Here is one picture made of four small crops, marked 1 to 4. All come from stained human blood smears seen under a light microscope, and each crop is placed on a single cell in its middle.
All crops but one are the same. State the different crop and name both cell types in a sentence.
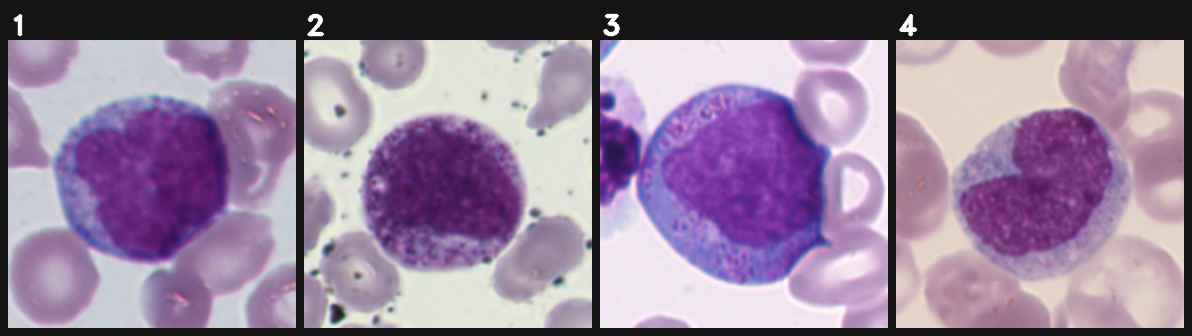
Crop 4 is a monocyte, and the other crops all show promyelocytes.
